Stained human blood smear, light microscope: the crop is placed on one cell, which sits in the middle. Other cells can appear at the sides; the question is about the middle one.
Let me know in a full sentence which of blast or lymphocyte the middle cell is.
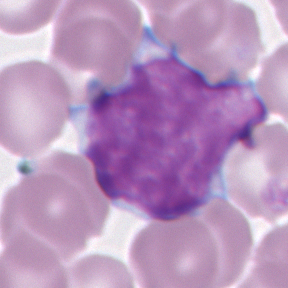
The middle of this crop holds a lymphocyte.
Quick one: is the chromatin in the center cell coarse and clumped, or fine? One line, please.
Its chromatin is finely dispersed rather than coarsely clumped.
